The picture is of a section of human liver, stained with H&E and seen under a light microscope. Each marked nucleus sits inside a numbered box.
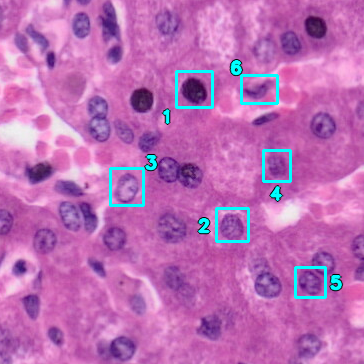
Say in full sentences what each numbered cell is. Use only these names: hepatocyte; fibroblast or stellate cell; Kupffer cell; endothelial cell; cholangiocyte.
Cell 1 is a hepatocyte, cell 2 is a hepatocyte, cell 3 is a cholangiocyte, cell 4 is a hepatocyte, cell 5 is a hepatocyte and cell 6 is a Kupffer cell.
